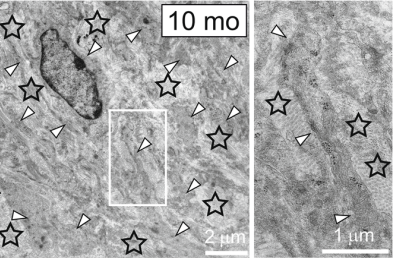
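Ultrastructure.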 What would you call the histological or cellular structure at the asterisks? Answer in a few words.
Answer: Fibrillar collagen matrix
